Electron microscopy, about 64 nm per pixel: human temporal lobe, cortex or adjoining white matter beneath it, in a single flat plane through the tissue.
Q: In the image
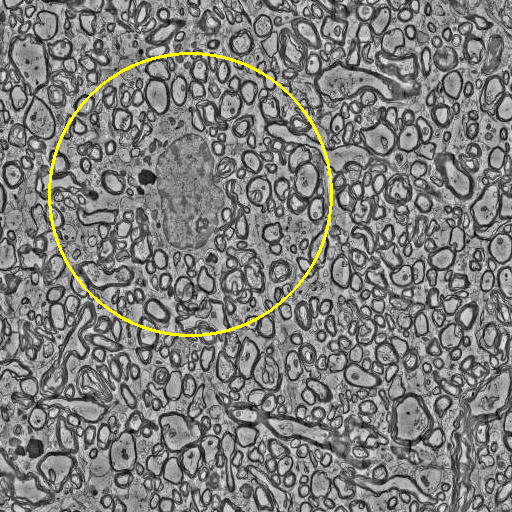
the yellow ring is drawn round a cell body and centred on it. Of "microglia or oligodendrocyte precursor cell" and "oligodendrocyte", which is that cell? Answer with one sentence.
The cell centred in the ring is an oligodendrocyte.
